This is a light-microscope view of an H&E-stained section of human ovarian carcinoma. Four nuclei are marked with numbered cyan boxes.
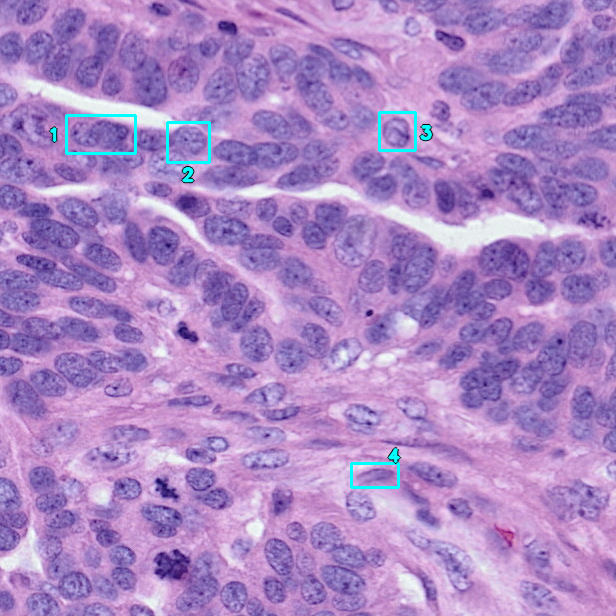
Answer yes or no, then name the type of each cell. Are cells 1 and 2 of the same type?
Yes, cell 1 and cell 2 are both carcinoma cells.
